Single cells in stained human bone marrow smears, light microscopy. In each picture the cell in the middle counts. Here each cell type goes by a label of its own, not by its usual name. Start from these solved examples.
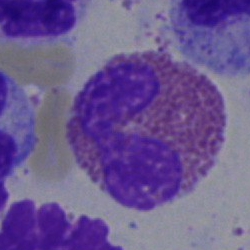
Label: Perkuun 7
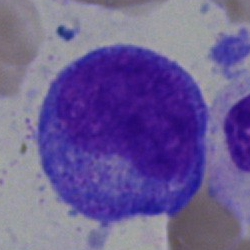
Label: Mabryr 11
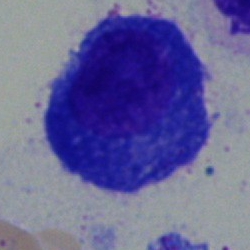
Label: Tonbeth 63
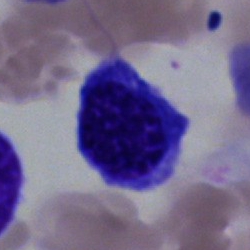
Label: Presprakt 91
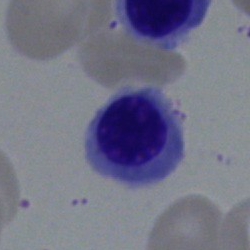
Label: Presprakt 91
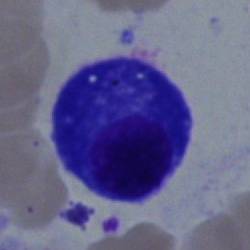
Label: Tonbeth 63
